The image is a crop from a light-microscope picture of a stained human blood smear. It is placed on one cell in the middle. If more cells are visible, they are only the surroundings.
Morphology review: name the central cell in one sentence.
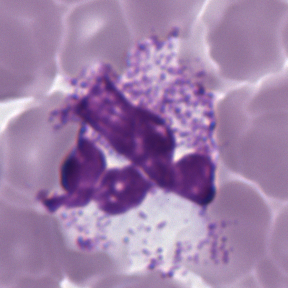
The cell in the middle of this crop is a segmented neutrophil.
